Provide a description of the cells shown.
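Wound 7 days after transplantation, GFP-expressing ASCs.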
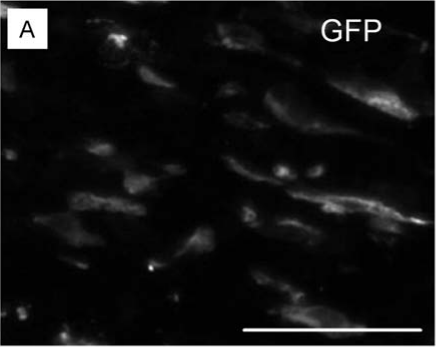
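The cells are elongated and spindle-shaped, some with thin, tapering processes. They are oriented mostly in one direction, lying side by side in loose, roughly parallel rows. Within several of the cells a darker oval area suggests where the nucleus sits inside the bright cytoplasm.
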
